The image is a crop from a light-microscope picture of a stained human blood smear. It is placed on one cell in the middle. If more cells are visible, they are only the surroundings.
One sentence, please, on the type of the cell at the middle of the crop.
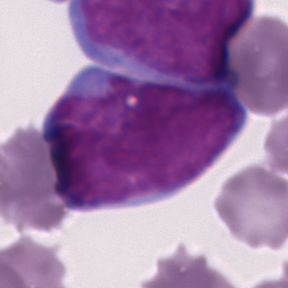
For this crop, the central cell is a myeloblast.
